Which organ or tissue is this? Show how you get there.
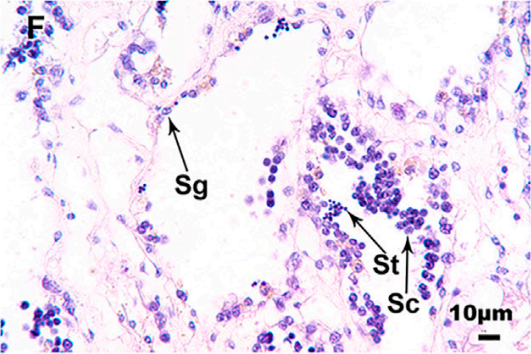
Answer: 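Testis. Clusters of many small, densely stained round cells lie within the follicle. Very small dark dots gather beside these clusters.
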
